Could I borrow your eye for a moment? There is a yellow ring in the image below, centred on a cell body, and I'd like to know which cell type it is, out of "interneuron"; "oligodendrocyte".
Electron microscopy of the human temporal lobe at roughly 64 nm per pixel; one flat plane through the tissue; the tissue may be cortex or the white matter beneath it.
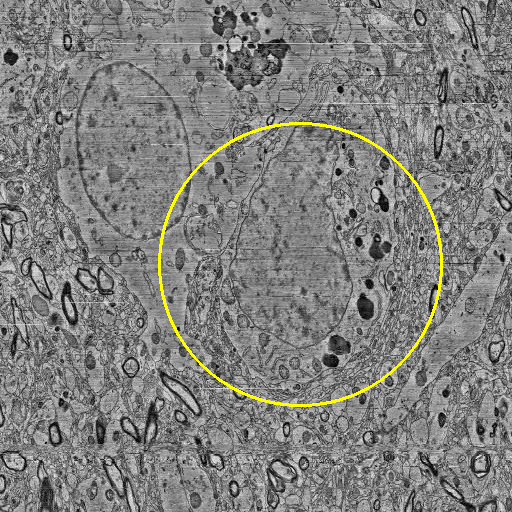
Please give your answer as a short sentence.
The cell body at the centre is that of an interneuron.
